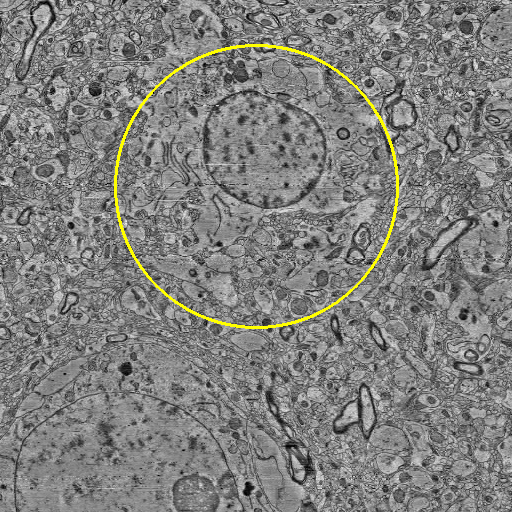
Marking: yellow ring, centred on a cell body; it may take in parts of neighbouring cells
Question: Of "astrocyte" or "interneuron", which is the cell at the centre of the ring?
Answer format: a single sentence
The ring surrounds the body of an astrocyte.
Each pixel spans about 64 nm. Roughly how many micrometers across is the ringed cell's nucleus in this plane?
In this plane, roughly 8 micrometres across.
